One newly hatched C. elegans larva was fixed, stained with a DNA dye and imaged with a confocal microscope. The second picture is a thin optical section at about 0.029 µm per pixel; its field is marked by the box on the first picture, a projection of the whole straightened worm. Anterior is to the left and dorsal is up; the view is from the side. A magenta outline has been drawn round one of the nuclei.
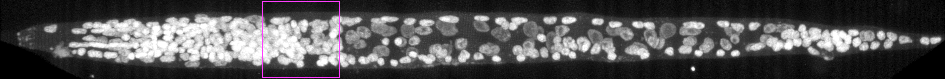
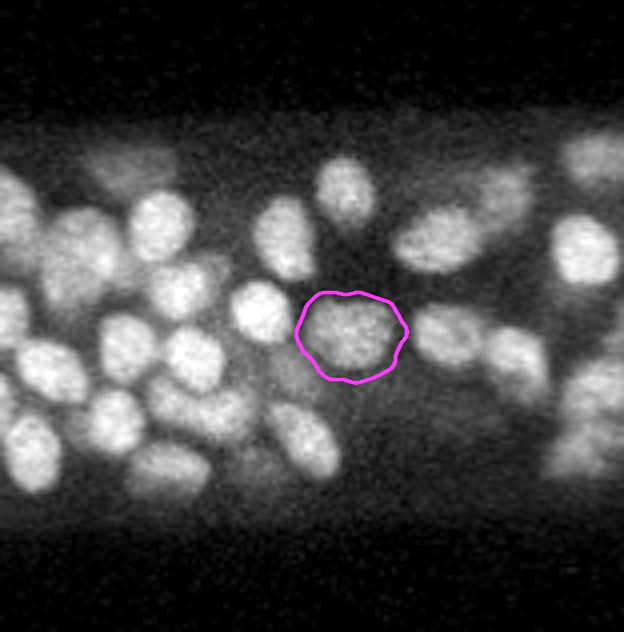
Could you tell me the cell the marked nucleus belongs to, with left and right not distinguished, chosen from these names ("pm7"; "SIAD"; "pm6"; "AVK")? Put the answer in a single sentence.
The marked cell is pm6, a pharyngeal muscle cell.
